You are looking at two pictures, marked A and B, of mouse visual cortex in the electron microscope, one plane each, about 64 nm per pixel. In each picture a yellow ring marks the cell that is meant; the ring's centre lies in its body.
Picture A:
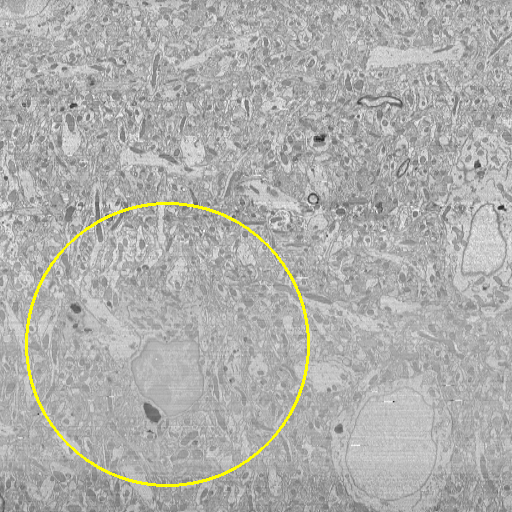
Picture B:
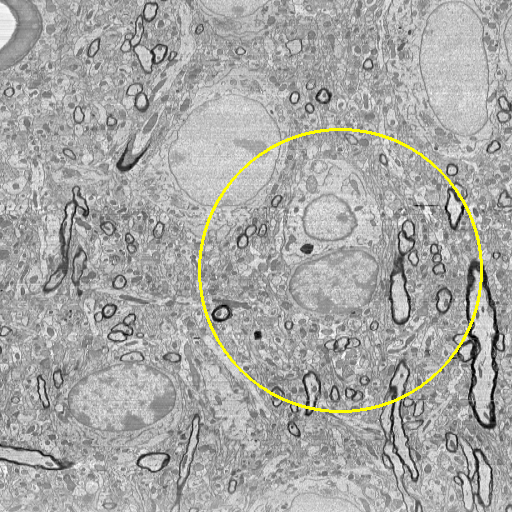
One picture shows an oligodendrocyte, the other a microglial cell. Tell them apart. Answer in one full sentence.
Picture A is of a microglial cell, and picture B is of an oligodendrocyte.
